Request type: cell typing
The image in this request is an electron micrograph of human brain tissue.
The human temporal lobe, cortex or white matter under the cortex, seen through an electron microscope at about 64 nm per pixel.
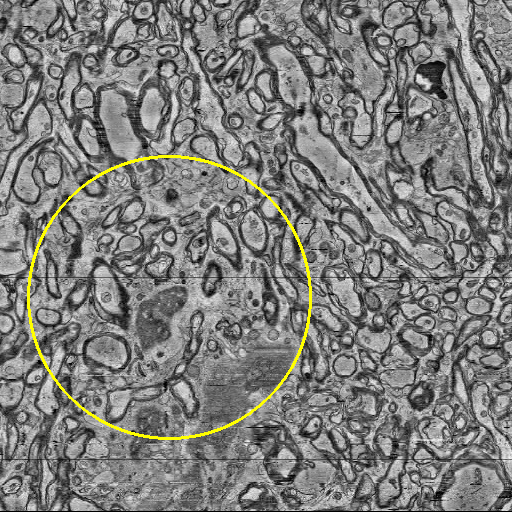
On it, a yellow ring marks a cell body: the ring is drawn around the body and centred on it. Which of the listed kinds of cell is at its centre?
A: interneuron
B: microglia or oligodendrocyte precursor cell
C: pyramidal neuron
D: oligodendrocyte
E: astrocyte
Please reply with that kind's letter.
B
